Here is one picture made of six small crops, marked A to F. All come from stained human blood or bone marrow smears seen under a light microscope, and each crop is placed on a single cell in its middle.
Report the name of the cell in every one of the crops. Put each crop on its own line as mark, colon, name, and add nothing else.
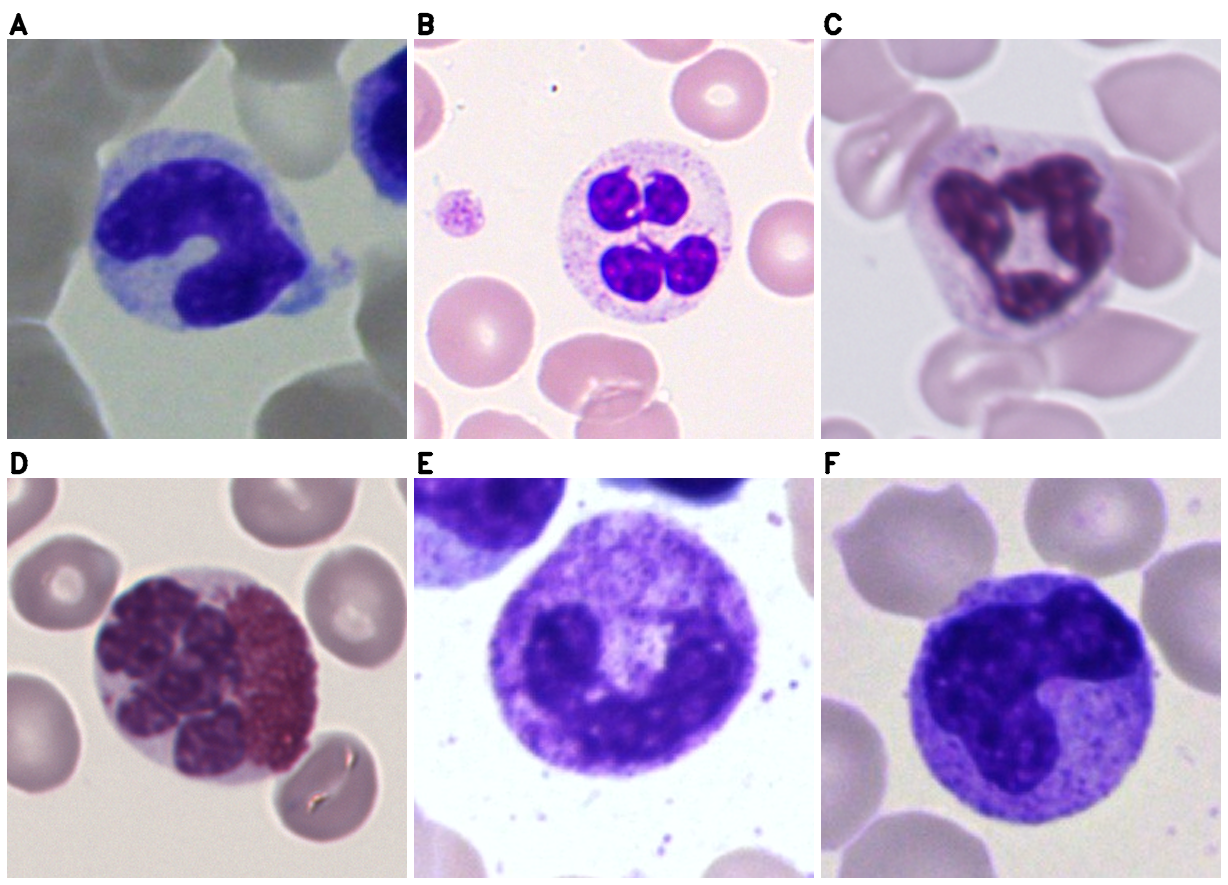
A: band neutrophil
B: segmented neutrophil
C: segmented neutrophil
D: eosinophil
E: band neutrophil
F: band neutrophil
